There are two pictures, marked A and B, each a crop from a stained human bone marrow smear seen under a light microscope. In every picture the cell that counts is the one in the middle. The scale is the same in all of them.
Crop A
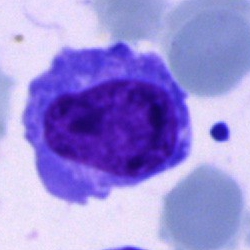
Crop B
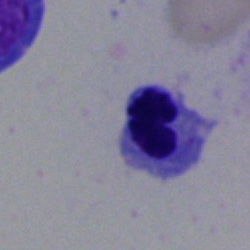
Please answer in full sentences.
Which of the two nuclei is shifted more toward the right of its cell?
Seen within its cell, the nucleus in crop A lies further toward the right.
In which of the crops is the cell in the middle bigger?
Larger is the cell in crop A, at roughly 3 times the area of the other.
